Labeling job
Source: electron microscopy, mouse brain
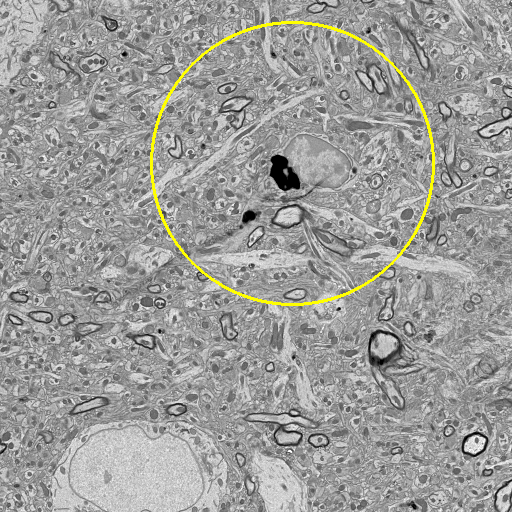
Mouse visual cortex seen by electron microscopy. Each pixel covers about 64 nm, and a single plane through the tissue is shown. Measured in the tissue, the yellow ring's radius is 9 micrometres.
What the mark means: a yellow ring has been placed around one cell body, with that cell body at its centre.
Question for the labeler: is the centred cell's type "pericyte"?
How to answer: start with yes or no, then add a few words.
No, its type is another one.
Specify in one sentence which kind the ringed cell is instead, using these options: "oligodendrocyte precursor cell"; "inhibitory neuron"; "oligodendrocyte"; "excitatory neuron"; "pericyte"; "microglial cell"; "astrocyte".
The cell enclosed by the ring is a microglial cell.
